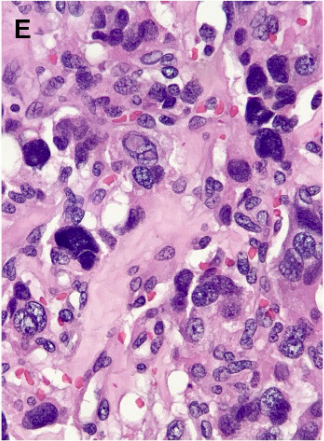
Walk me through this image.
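Several nuclei are greatly enlarged and deeply hyperchromatic, standing out among smaller oval nuclei with fine chromatin. The cytoplasm of the cells is pink to lilac and moderately abundant. Pink fibrous stroma and small capillaries with red blood cells run between the cells, and a few clear spaces are scattered in the field.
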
